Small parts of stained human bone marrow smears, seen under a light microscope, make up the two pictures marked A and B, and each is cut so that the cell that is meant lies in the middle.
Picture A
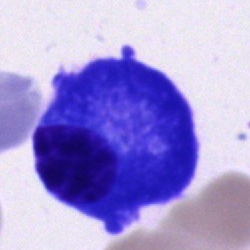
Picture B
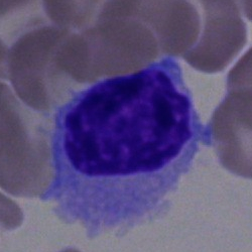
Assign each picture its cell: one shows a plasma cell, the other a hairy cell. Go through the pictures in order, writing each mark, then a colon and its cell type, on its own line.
A: plasma cell
B: hairy cell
